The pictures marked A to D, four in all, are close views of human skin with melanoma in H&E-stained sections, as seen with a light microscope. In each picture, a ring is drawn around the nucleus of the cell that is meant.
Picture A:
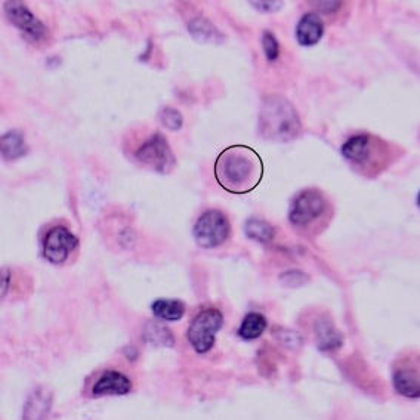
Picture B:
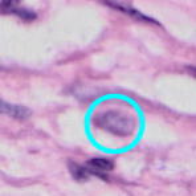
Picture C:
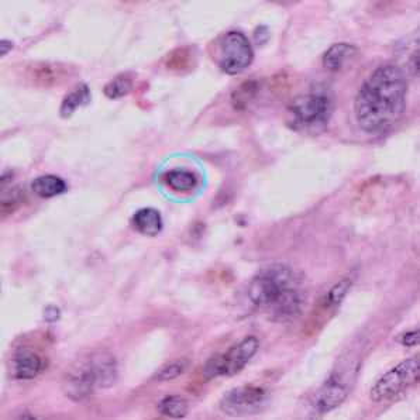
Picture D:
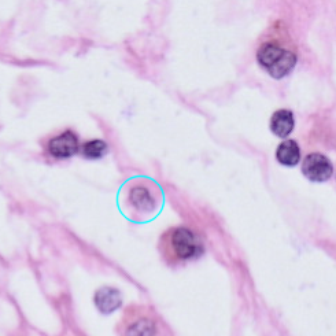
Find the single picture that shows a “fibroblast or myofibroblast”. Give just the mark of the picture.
B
